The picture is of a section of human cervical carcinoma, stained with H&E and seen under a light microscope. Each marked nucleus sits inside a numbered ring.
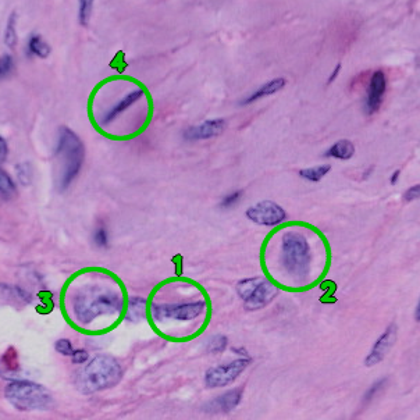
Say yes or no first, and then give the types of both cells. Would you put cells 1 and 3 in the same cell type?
Yes, that cells 1 and 3 are both endothelial cells holds true.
